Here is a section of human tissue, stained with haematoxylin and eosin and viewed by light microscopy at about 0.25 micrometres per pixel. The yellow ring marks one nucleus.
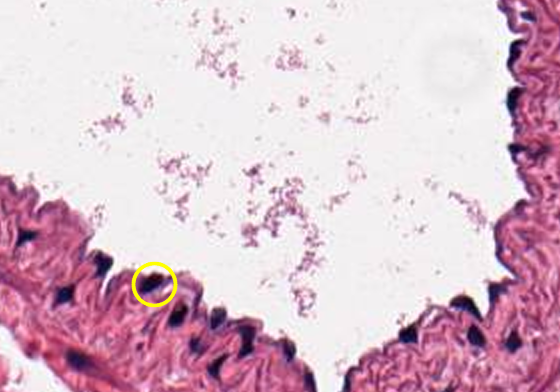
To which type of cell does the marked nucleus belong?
endothelial cell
